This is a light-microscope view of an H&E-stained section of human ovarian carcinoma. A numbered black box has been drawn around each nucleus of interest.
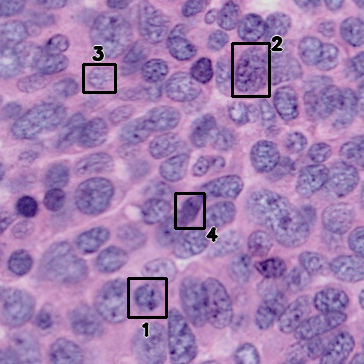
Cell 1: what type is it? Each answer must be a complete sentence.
The cell pointed out as number 1 is a macrophage or monocyte.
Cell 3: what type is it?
The cell identified by the number 3 is a carcinoma cell.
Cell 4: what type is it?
The cell given label 4 is a carcinoma cell.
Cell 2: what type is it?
The one numbered 2 among the marked cells is a carcinoma cell.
